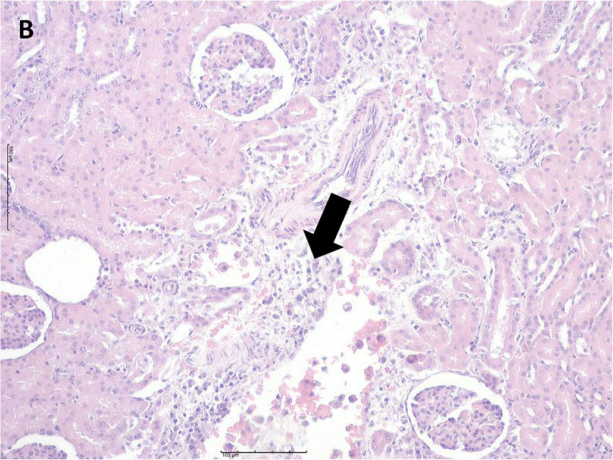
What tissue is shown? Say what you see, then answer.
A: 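Several round glomeruli within clear capsular spaces. Surrounding pink tubules lined by cuboidal cells.
Hence: kidney.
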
